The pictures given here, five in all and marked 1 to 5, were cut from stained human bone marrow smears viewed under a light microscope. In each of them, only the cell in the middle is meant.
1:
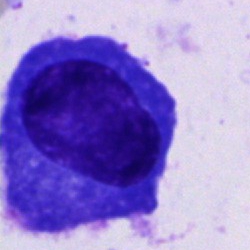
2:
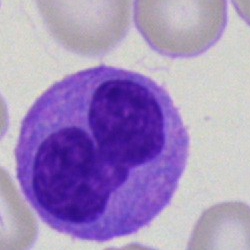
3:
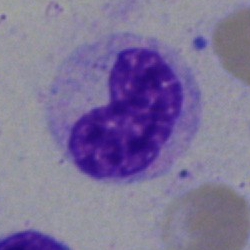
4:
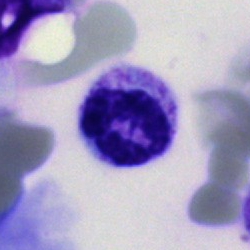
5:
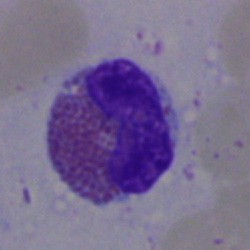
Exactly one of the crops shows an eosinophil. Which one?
5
